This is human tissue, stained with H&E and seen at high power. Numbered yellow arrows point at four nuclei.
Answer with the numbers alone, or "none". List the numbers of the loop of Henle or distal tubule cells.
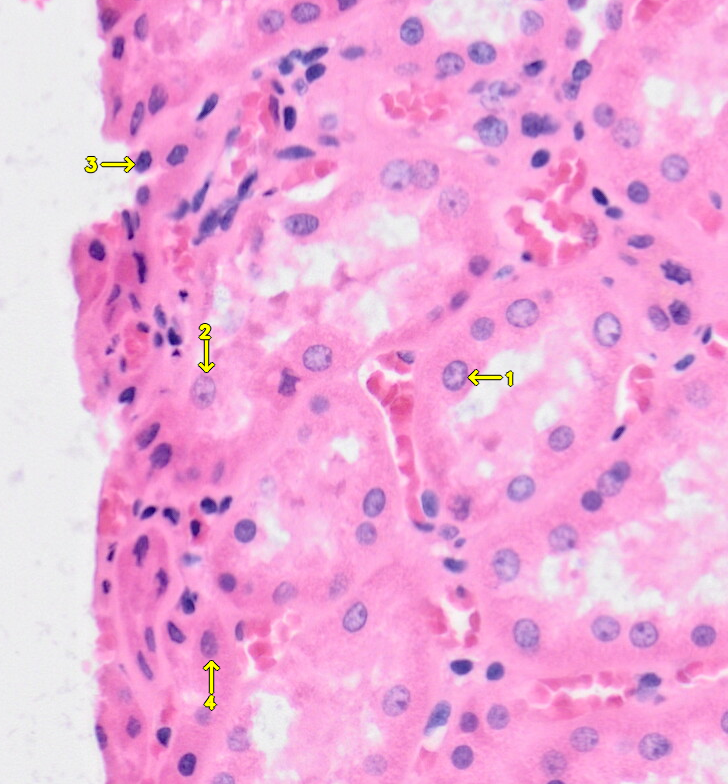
3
